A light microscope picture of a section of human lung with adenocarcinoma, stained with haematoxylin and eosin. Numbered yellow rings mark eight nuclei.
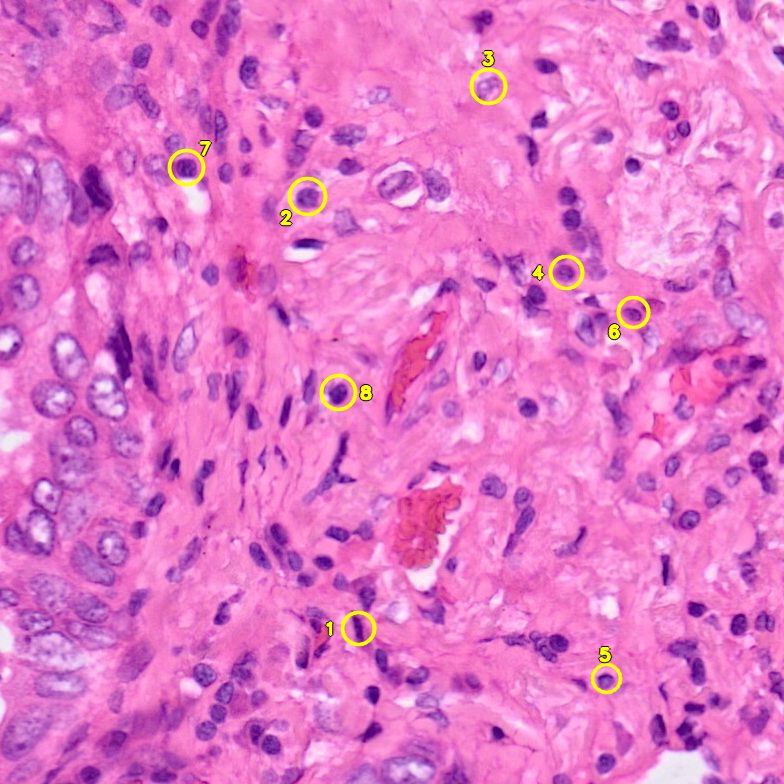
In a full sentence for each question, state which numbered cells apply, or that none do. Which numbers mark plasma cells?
Among the numbered cells, the one that is a plasma cell is cell 1 alone.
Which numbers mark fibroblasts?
Only the cell numbered 3 qualifies as a fibroblast among the marked cells.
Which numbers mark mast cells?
Cell 6 is a mast cell; every other numbered cell is something else.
